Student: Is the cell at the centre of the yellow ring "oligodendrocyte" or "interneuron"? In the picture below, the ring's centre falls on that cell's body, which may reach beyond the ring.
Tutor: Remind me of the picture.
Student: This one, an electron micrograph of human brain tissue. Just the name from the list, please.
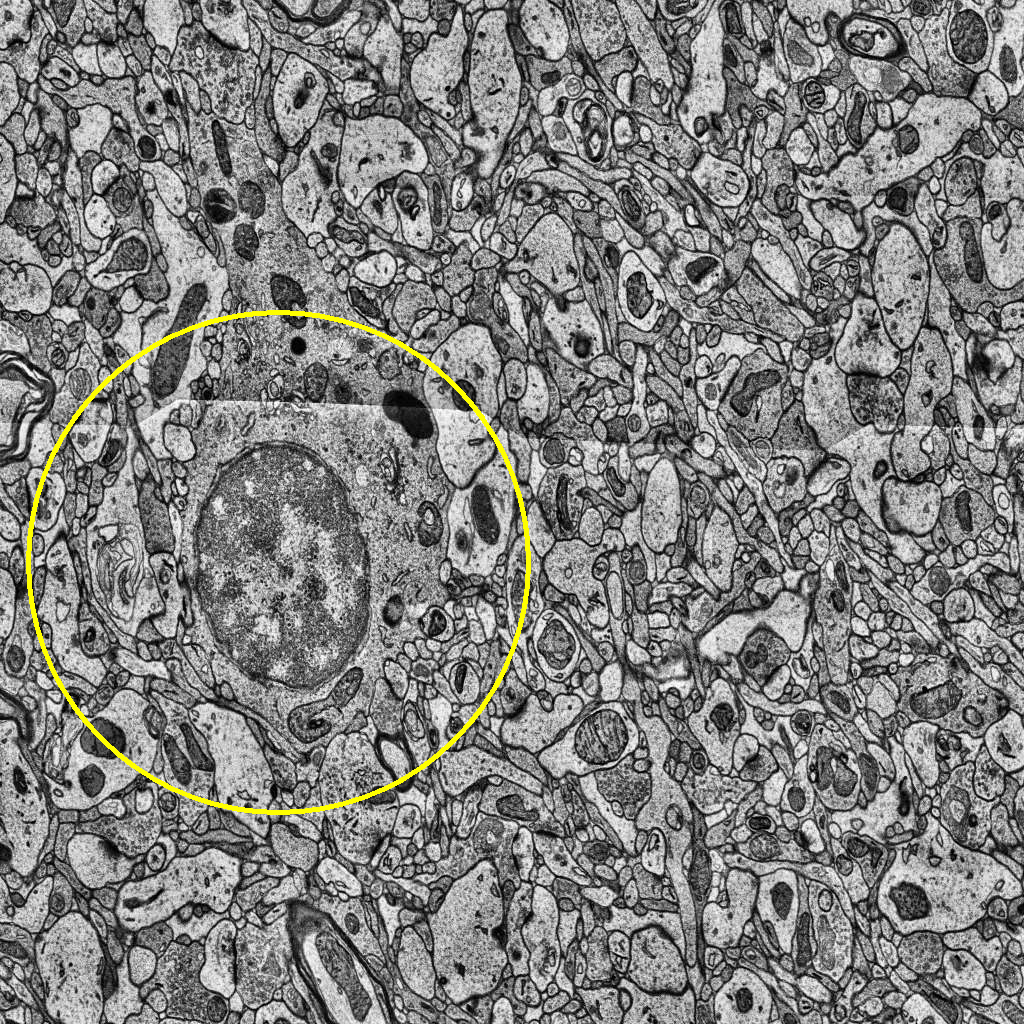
oligodendrocyte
